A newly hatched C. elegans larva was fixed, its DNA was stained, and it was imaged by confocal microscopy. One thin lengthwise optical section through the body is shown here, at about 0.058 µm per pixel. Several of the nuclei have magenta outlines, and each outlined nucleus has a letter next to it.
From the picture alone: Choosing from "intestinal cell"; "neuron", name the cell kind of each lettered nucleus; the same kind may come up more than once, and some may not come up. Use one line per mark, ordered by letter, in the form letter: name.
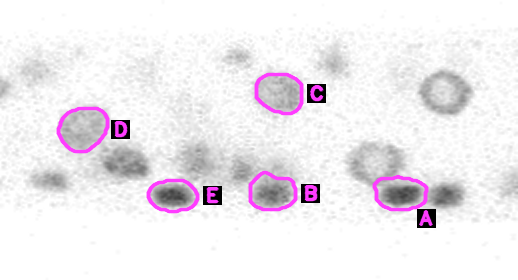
A: neuron
B: neuron
C: intestinal cell
D: intestinal cell
E: neuron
